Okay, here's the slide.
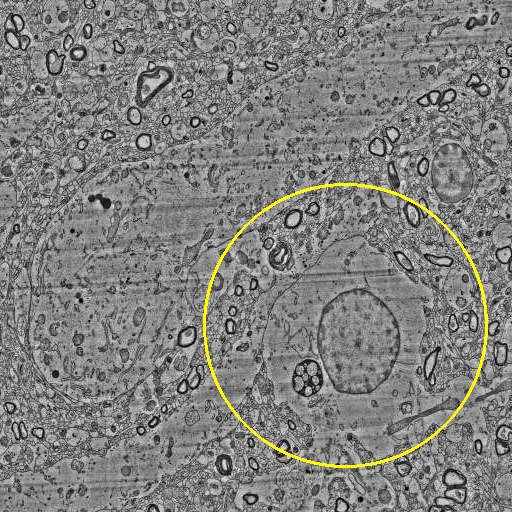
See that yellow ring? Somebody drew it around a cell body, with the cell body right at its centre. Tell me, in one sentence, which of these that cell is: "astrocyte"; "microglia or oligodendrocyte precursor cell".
The cell in the middle of the ring is an astrocyte.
